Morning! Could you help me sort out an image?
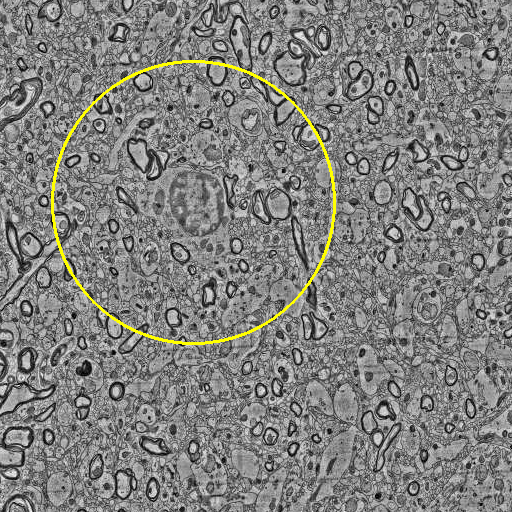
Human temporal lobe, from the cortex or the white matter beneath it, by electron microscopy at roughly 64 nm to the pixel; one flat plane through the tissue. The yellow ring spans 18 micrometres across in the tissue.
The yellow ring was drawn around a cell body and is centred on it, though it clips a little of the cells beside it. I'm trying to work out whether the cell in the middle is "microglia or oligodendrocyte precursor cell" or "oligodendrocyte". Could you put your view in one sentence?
The ringed cell body is that of an oligodendrocyte.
